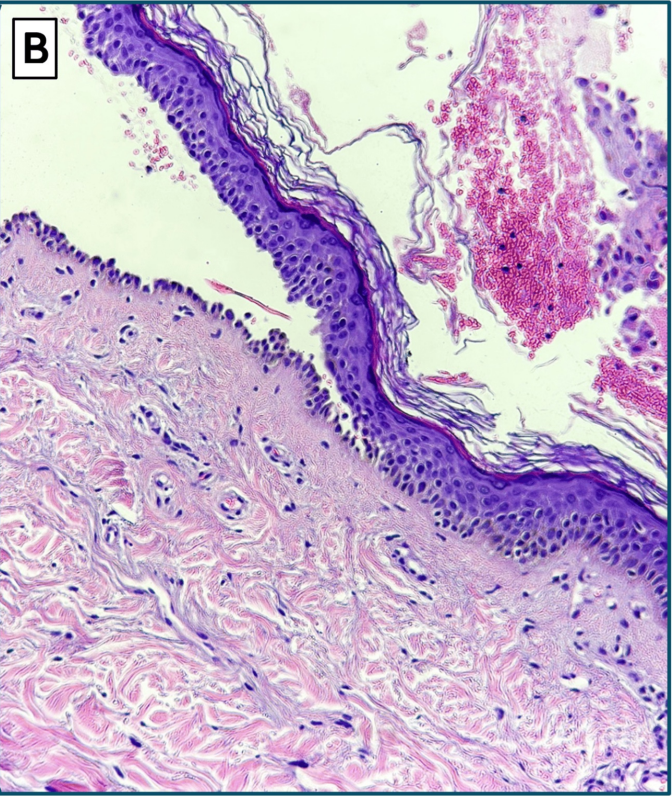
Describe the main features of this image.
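This is skin at higher power, split within the epidermis. A single row of small basal keratinocytes with dark purple nuclei stays attached to the pink, collagen-rich dermis. The cells stand apart from each other along the floor of the split, like a row of tombstones. Red blood cells collect in the space at upper right. In the dermis, small vessels are surrounded by scattered small dark nuclei of inflammatory cells.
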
